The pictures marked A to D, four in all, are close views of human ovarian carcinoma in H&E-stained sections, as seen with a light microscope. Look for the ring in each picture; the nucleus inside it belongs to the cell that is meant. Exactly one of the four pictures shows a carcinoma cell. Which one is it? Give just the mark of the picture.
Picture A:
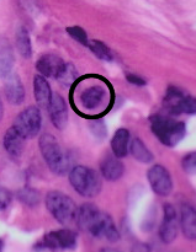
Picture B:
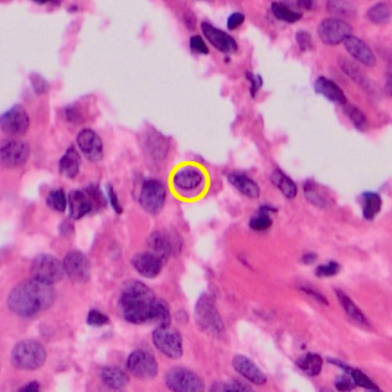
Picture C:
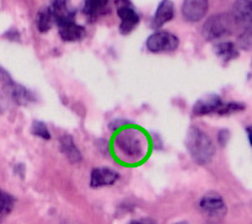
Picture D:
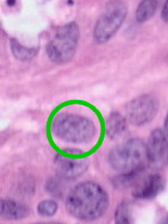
D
